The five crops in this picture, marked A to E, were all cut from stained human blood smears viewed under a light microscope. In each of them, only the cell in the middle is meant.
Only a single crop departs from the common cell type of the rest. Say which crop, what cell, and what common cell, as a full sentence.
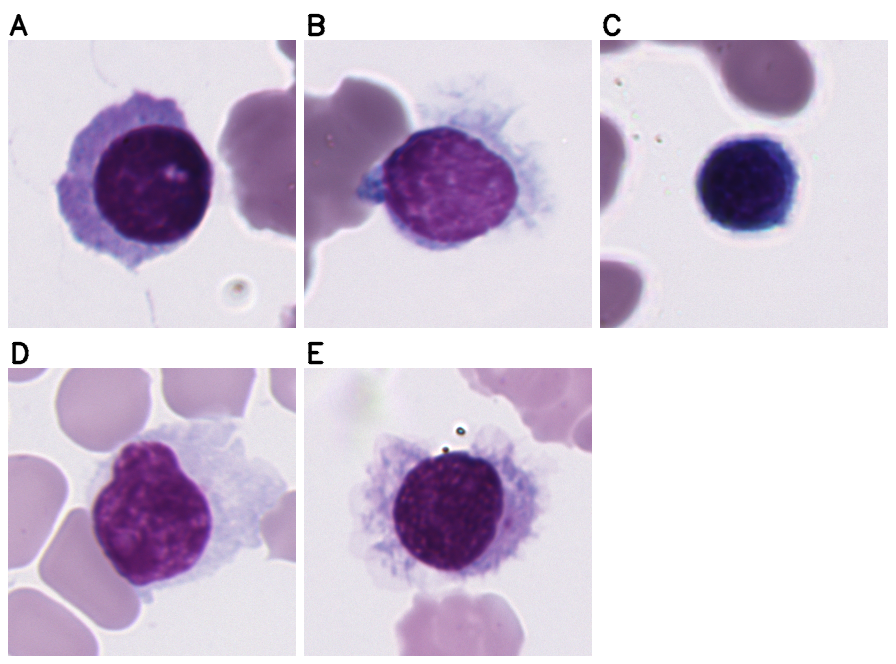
Crop C holds a plasma cell, unlike the remaining crops, all of which hold hairy cells.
